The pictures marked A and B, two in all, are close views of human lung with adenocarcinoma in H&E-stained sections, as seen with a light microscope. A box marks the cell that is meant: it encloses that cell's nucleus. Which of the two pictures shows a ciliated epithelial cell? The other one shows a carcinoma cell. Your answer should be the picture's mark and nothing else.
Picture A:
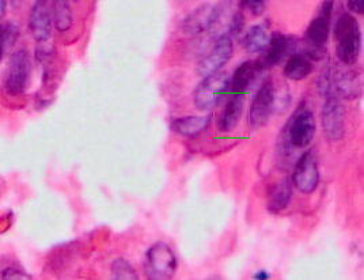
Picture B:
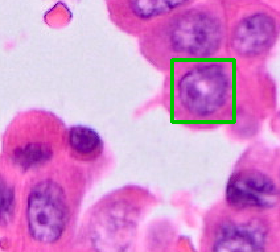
A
